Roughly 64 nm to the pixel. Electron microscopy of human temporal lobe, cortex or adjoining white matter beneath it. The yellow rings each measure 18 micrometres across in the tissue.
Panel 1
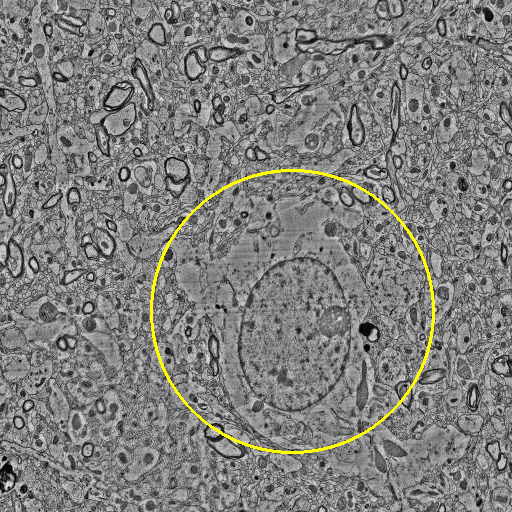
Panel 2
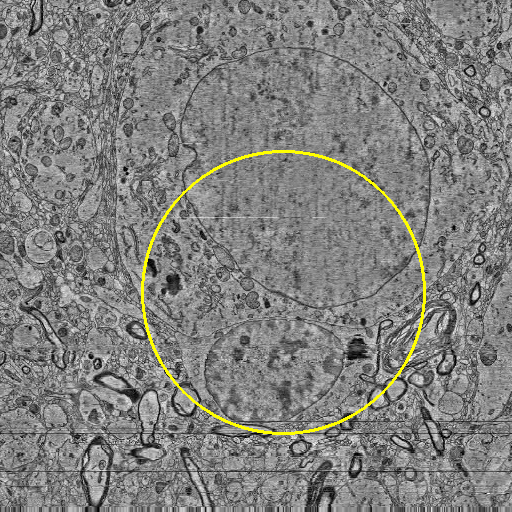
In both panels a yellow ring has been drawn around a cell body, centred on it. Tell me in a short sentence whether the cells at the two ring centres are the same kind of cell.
No, they are two kinds of cell.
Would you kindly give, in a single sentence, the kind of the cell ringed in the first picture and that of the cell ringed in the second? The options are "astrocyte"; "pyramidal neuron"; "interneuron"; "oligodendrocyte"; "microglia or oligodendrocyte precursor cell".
The second cell is a pyramidal neuron, and the first cell is an astrocyte.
